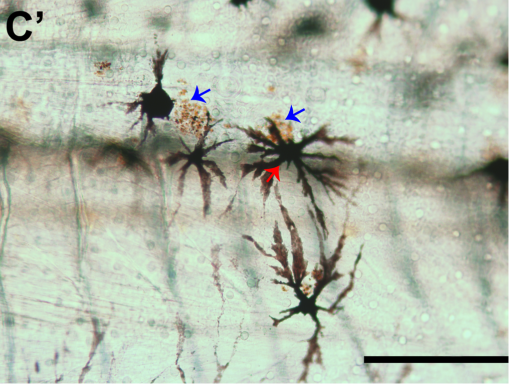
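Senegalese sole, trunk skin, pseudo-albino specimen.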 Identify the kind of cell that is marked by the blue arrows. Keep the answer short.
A: xanthophores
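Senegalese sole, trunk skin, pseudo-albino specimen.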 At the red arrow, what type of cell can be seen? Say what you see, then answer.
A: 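Melanophores. The arrowed cell is black with many branched, radiating processes.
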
